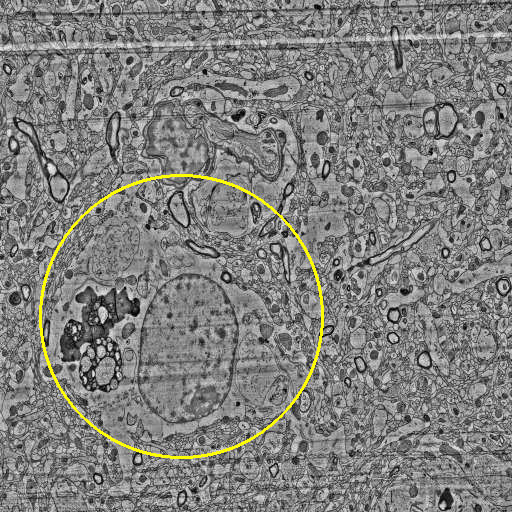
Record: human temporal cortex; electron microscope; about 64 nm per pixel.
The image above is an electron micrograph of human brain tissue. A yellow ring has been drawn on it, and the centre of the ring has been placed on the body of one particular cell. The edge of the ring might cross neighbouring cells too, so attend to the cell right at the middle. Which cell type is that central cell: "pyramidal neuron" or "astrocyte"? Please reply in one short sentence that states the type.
The central cell in the ring is an astrocyte.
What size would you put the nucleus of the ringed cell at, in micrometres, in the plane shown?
The nucleus is approximately 10 micrometres long but only about 6 wide, clearly longer than it is wide in this plane.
